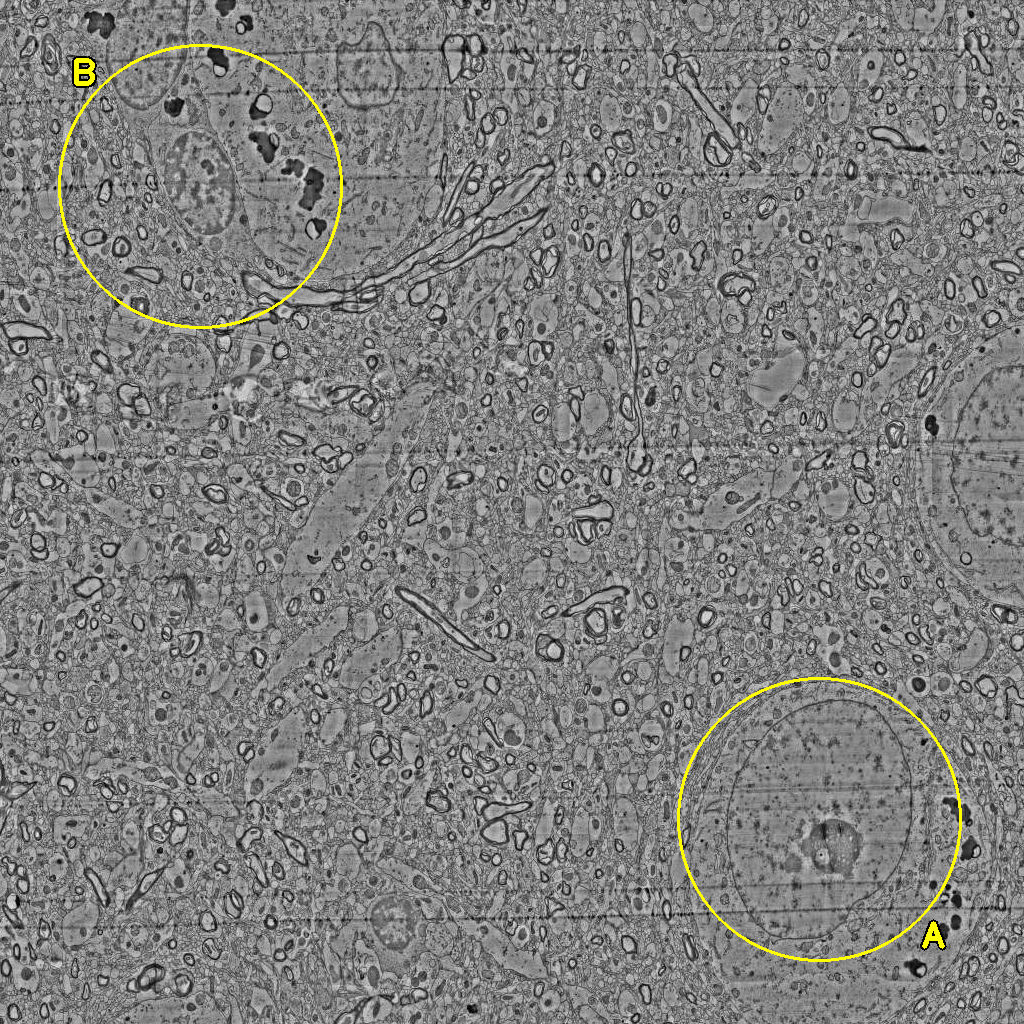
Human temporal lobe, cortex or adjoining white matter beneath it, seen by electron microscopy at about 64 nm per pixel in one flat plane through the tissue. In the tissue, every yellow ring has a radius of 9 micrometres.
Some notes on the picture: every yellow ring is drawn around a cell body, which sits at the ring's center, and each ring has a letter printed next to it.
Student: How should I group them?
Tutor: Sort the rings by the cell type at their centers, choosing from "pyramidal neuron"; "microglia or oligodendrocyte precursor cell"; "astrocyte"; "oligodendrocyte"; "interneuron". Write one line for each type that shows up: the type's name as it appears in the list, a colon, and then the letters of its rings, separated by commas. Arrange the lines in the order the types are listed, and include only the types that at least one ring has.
pyramidal neuron: A
oligodendrocyte: B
